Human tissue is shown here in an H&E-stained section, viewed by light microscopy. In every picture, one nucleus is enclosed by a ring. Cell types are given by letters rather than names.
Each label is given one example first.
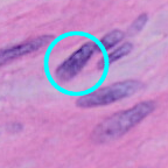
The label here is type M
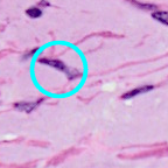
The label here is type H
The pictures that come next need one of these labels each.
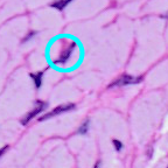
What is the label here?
type H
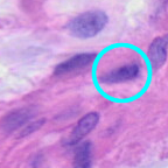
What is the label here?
type M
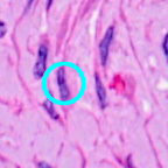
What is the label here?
type H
